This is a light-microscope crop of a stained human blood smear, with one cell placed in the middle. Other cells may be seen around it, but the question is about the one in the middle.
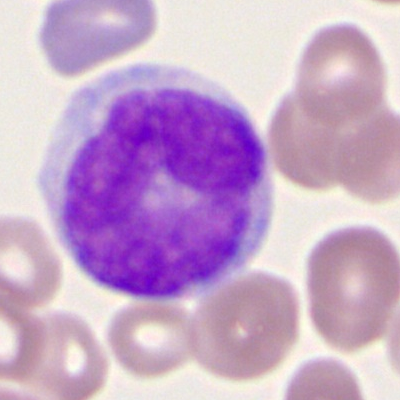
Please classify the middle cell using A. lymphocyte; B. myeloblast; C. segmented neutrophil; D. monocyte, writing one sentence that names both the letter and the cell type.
Identified correctly by option D, the cell in the middle is a monocyte.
